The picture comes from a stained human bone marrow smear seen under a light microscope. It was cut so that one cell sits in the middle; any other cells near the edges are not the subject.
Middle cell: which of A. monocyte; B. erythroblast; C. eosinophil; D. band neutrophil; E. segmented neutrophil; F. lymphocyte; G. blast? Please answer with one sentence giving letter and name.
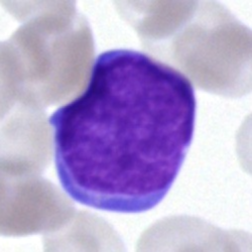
The cell at the centre, correctly named in option G, is a blast.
